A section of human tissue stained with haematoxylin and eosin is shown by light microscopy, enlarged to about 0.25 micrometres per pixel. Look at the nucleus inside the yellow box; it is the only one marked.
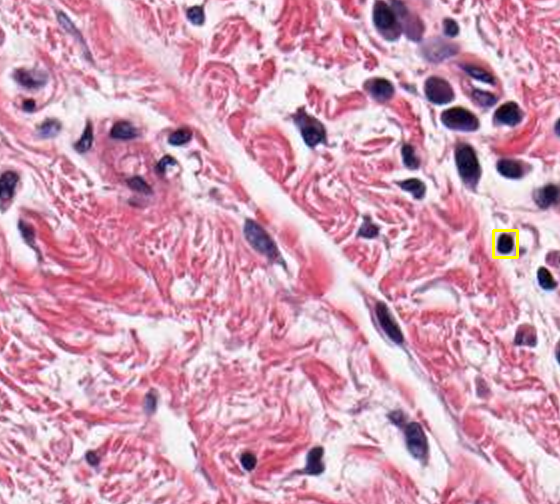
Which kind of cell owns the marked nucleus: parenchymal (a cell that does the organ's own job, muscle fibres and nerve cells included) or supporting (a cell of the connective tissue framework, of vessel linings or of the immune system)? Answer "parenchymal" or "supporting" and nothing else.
supporting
